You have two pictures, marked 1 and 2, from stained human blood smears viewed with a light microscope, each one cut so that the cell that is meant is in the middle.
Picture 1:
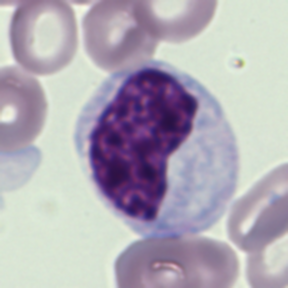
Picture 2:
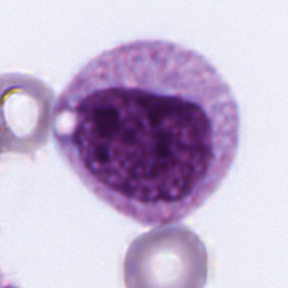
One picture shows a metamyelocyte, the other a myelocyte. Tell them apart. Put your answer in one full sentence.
It is picture 1 that shows a metamyelocyte, and picture 2 that shows a myelocyte.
